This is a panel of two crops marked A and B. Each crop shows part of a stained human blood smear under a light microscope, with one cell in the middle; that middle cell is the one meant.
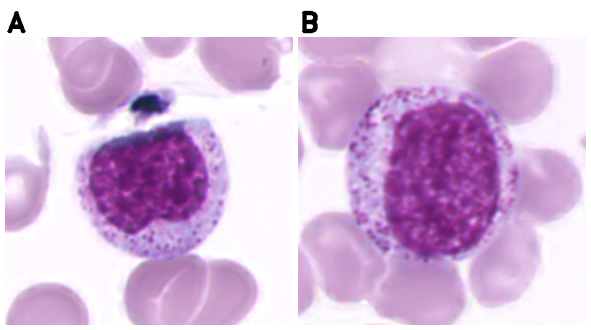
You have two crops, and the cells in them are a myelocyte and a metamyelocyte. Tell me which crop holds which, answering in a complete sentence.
The cell in crop A is a metamyelocyte, and the one in crop B is a myelocyte.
